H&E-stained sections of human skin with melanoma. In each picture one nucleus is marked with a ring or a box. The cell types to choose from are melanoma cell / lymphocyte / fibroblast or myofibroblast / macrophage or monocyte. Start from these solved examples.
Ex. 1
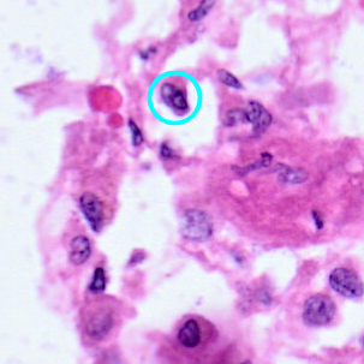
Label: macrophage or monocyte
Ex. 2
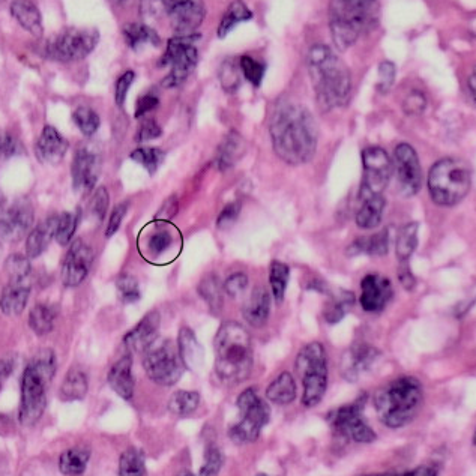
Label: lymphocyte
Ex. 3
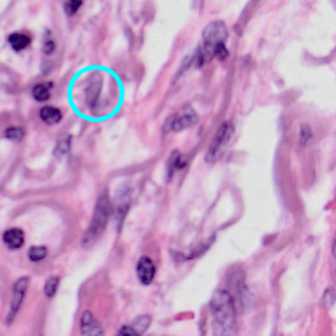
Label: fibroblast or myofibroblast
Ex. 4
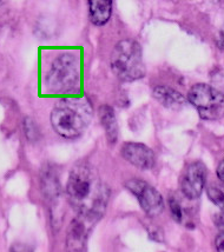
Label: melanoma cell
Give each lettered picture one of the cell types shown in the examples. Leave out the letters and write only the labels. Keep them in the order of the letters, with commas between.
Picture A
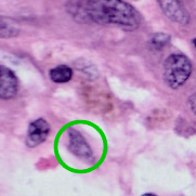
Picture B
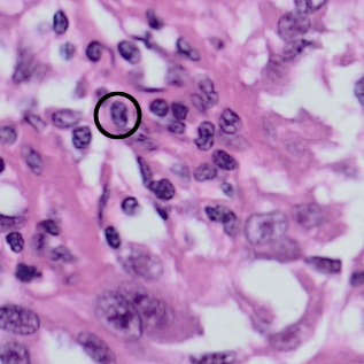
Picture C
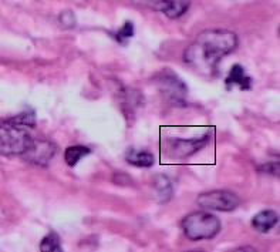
macrophage or monocyte, lymphocyte, fibroblast or myofibroblast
